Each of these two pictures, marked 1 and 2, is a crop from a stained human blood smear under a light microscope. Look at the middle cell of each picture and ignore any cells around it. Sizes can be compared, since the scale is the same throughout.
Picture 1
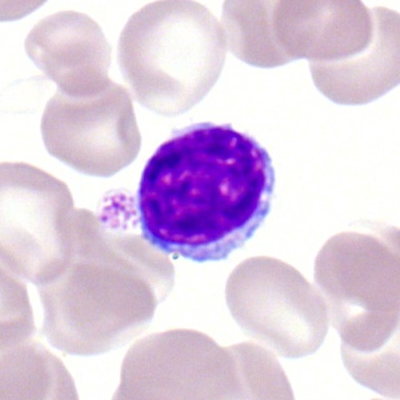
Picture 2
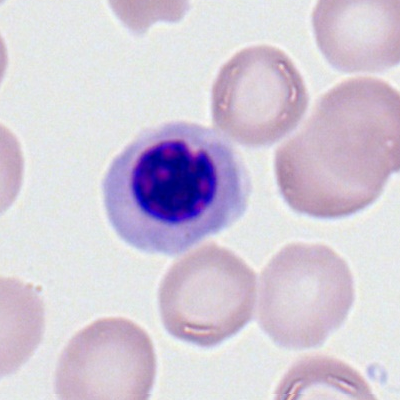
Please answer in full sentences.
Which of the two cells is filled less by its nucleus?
In picture 2 the nucleus takes up the smaller part of its cell.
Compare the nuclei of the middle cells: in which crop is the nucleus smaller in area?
Picture 2 shows the smaller nucleus, since that in picture 1 covers about 2 times as much area.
